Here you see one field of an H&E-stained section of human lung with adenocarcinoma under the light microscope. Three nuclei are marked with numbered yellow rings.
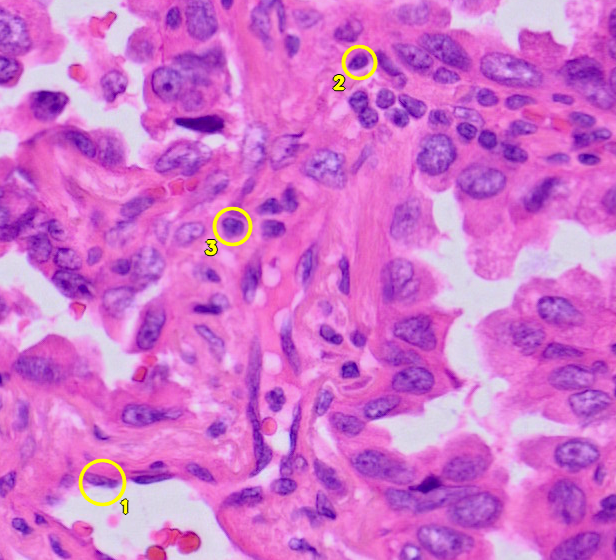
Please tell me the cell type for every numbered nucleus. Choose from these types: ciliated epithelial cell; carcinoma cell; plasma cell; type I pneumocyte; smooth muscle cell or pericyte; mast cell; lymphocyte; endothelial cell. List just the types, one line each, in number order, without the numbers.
endothelial cell
lymphocyte
lymphocyte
